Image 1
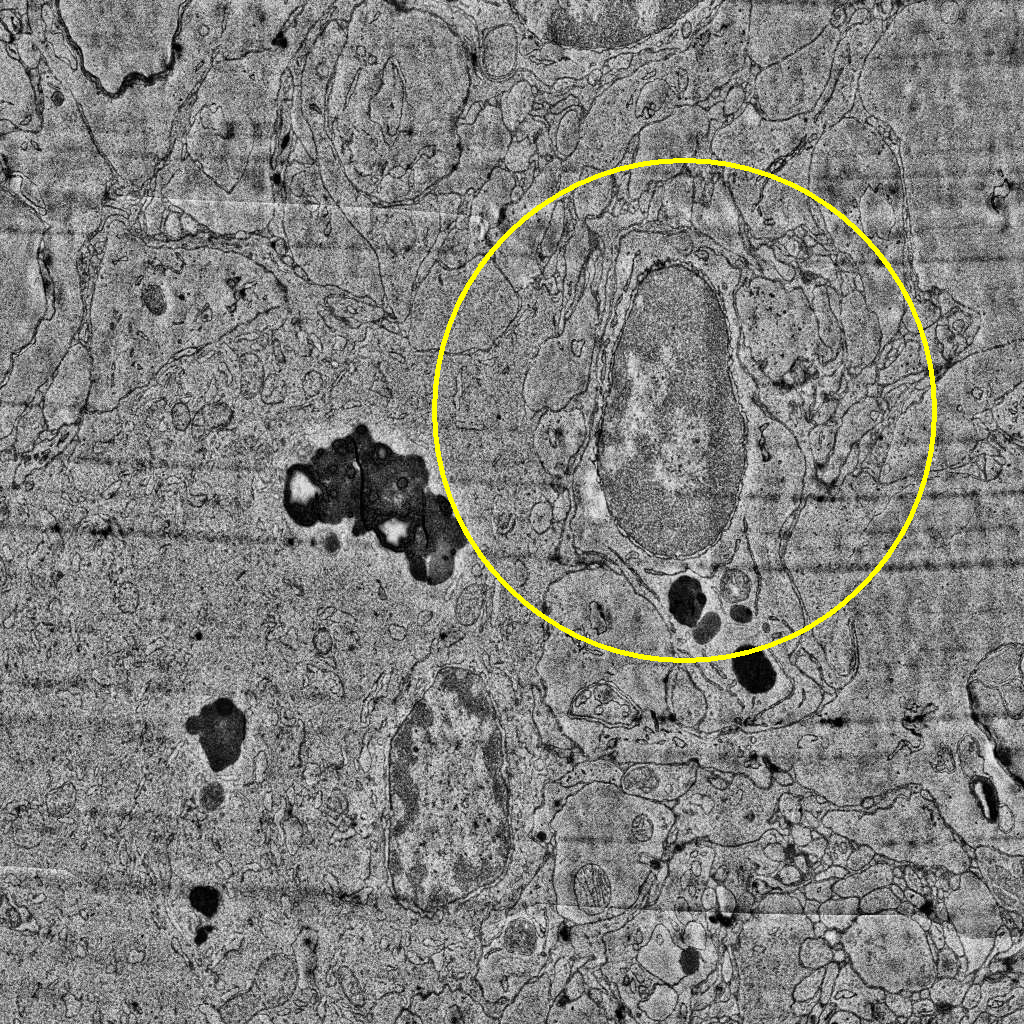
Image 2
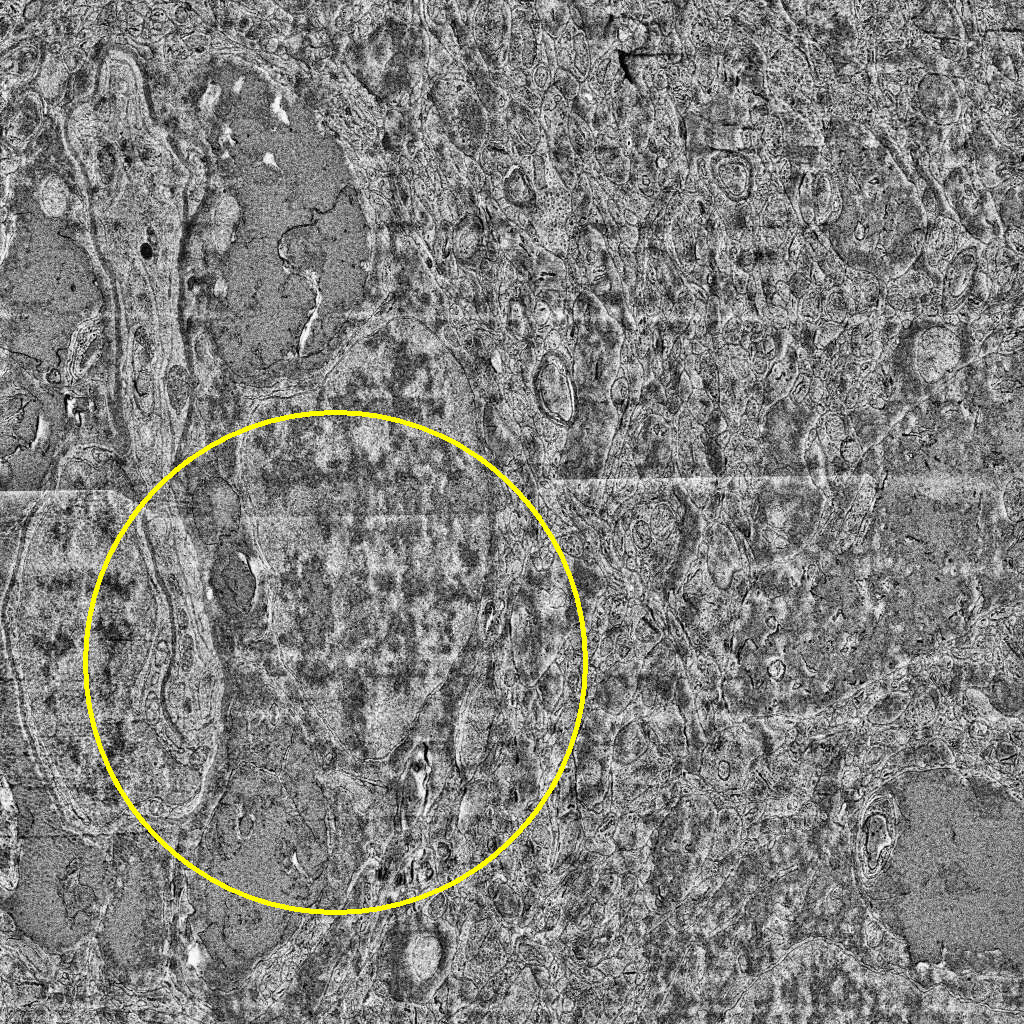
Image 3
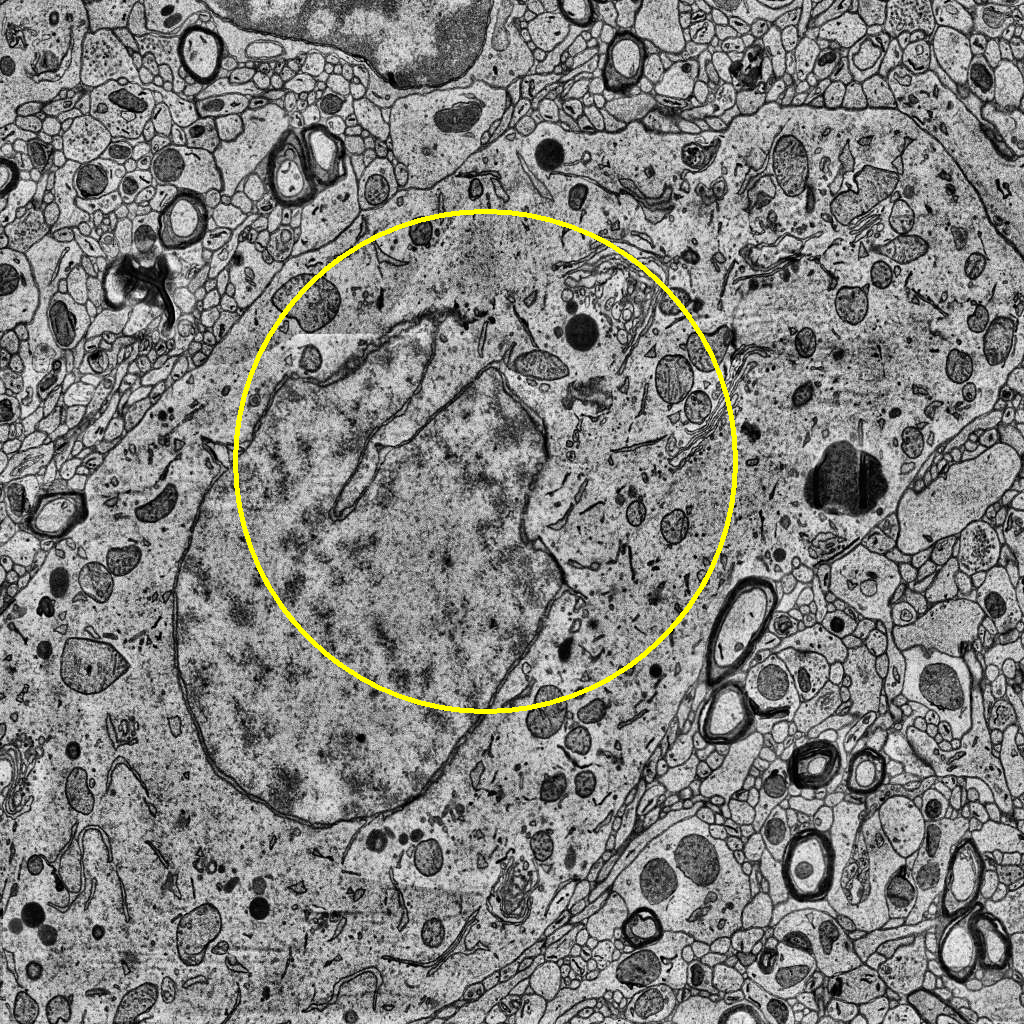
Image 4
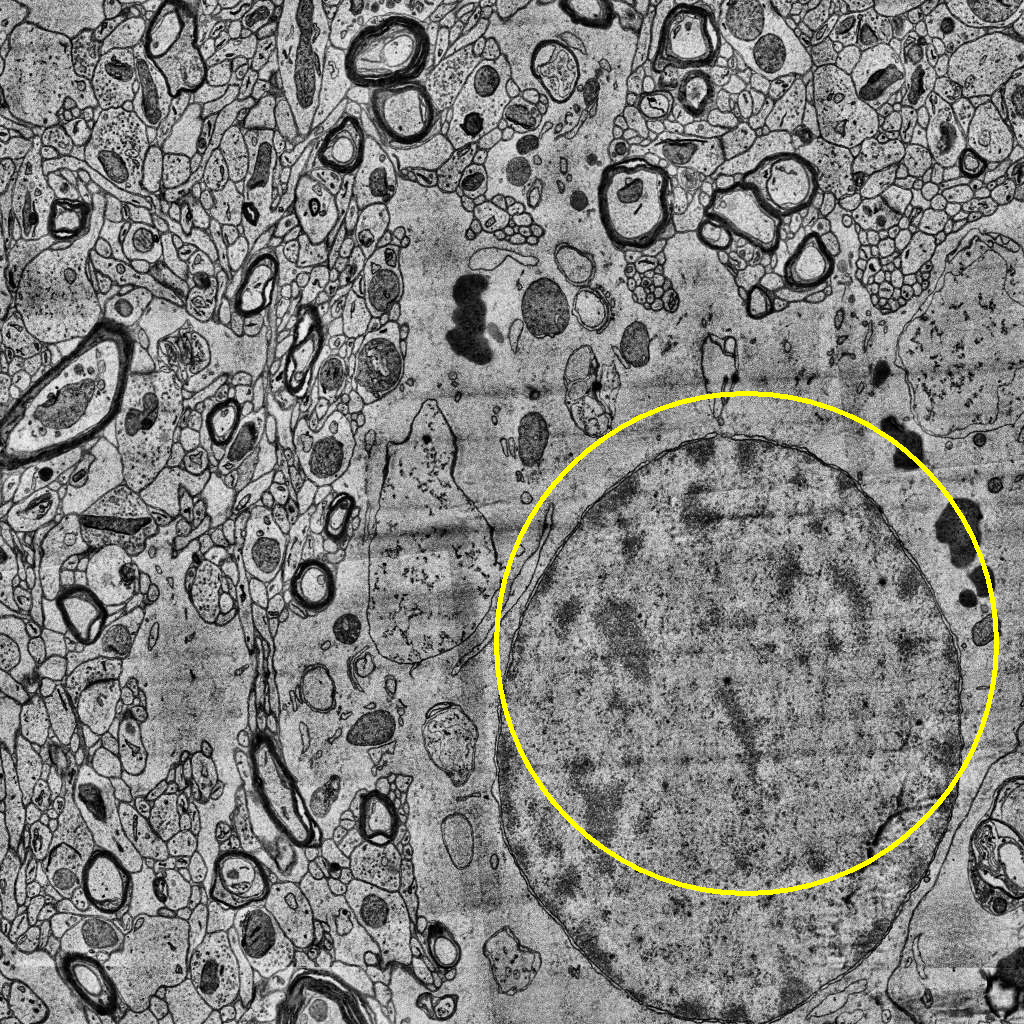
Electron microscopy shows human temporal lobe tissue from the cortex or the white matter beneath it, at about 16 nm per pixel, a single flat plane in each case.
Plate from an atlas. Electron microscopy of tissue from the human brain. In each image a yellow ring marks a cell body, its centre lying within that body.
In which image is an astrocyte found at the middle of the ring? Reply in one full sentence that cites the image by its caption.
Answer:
The requested cell is the one at the ring's centre in Image 4.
